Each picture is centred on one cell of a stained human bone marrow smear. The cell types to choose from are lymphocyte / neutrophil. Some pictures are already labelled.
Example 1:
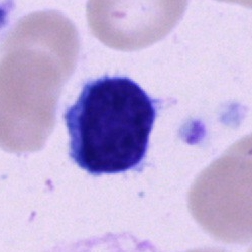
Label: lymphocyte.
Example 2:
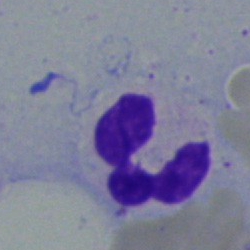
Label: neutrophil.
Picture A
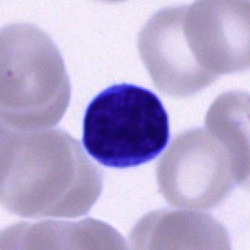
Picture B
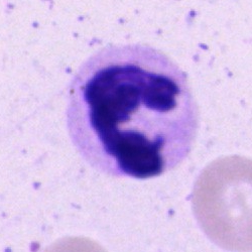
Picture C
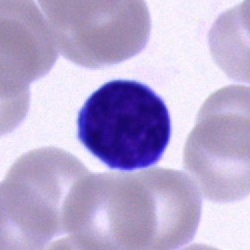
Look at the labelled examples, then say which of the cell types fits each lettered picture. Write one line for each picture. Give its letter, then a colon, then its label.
A: lymphocyte.
B: neutrophil.
C: lymphocyte.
